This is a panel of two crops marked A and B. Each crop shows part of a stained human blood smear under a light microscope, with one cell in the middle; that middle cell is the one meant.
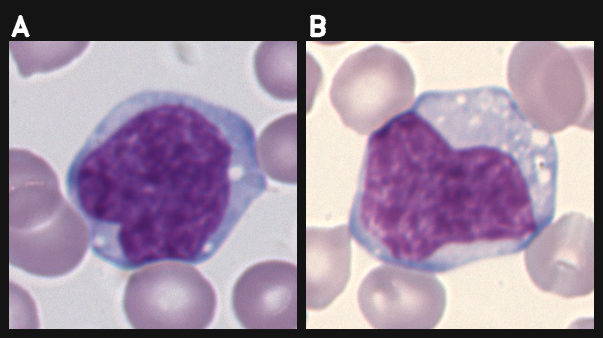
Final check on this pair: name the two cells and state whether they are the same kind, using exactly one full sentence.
Yes, blasts are centred in both crops.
